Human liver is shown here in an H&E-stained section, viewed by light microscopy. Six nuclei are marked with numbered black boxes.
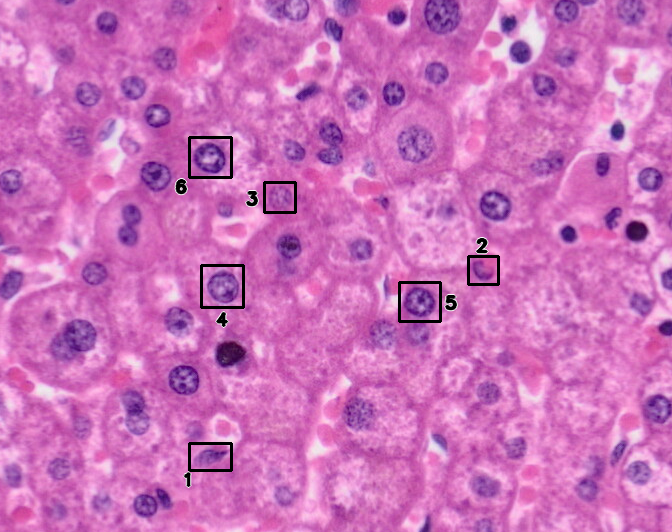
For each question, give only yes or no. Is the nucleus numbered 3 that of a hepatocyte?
yes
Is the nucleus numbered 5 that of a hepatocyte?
yes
